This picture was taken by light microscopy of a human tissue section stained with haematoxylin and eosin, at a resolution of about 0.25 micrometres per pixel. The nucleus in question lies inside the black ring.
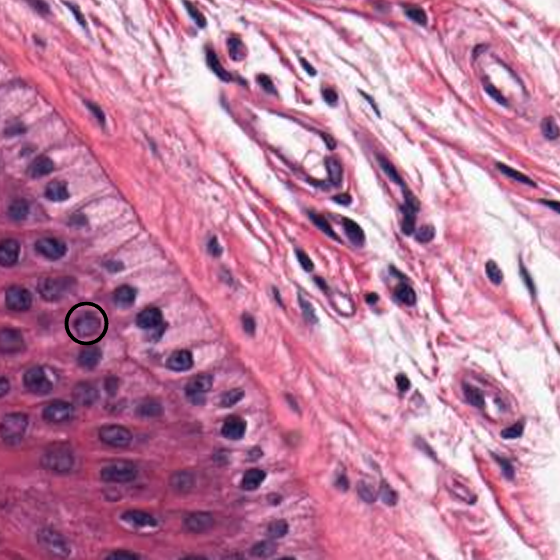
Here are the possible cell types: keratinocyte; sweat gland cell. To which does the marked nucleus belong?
keratinocyte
